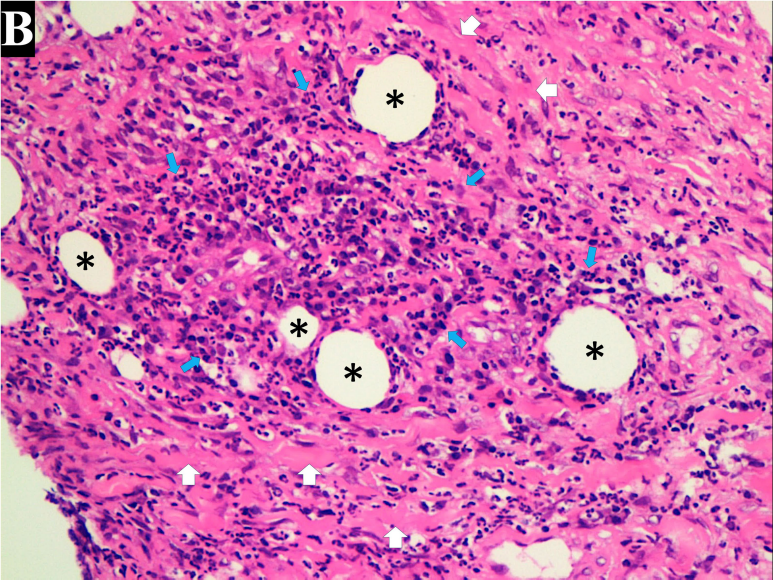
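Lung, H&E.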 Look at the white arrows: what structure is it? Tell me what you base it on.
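The arrows point to broad bands of bright pink, fibrillar, sparsely cellular material. The bands run in wavy strands across the upper and lower parts of the field.
Conclusion: thick collagen deposits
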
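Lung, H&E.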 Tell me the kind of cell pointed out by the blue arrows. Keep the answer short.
Lymphoplasmacytic cells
